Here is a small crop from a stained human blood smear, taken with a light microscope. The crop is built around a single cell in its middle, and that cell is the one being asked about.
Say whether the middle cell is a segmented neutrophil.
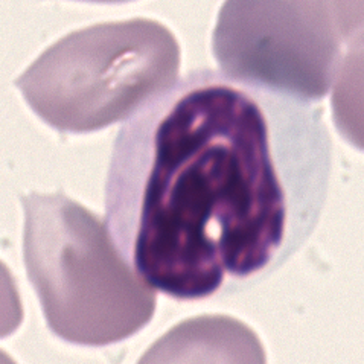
no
